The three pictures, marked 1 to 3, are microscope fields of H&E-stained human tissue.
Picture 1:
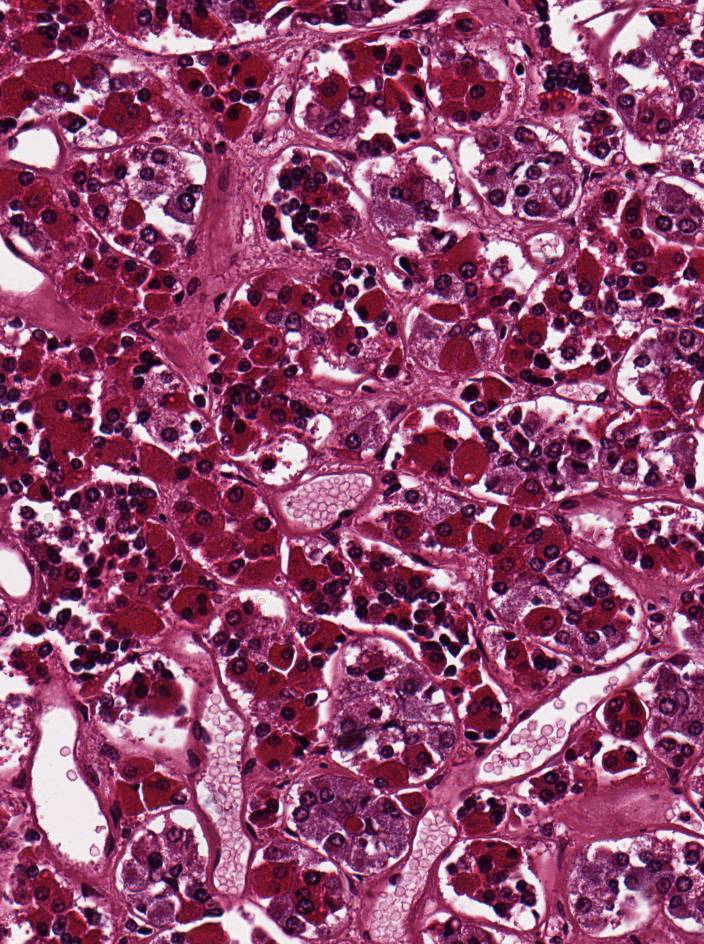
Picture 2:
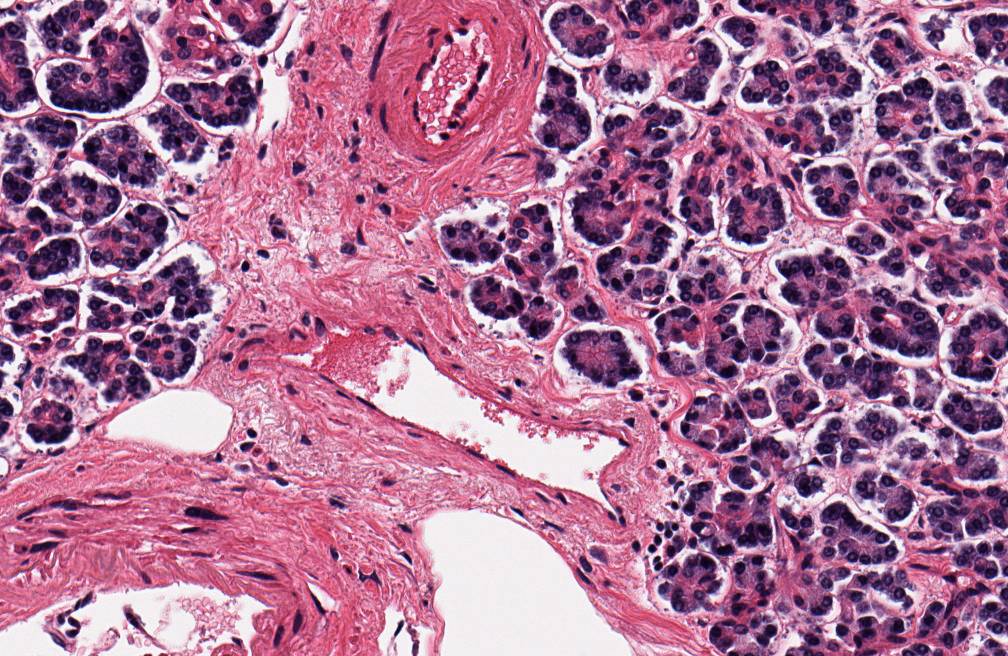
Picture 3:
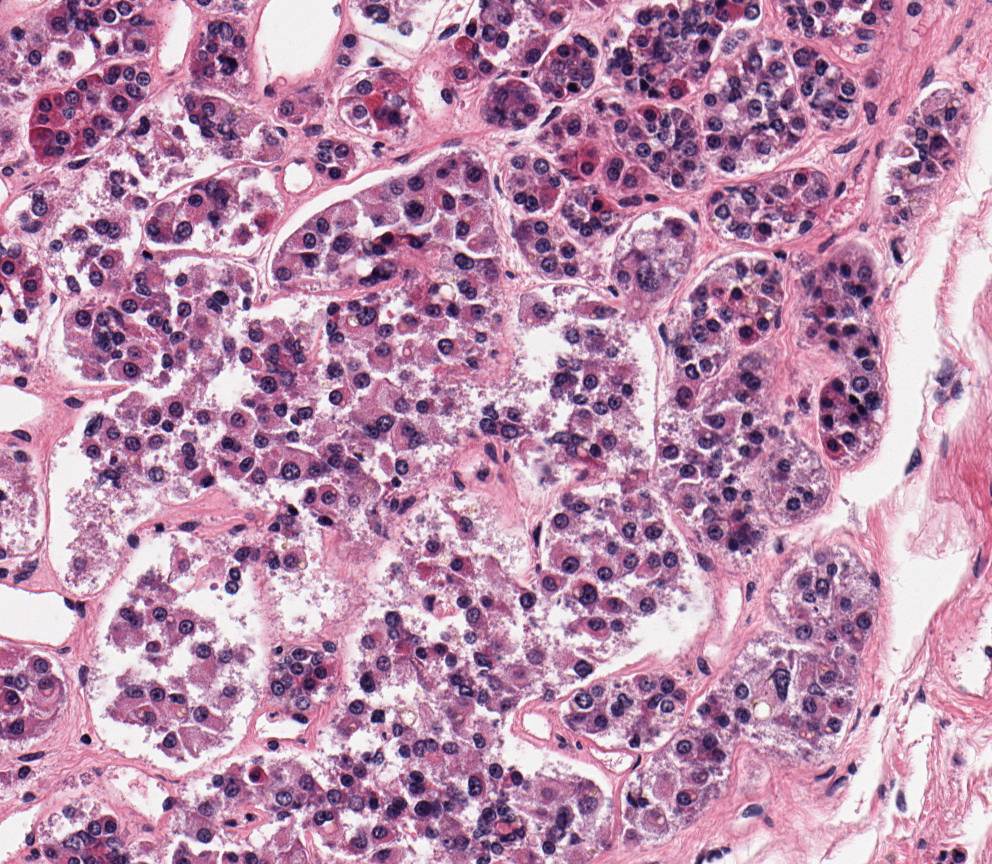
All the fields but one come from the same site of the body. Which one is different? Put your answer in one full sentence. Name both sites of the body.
All pictures except 2 come from the pituitary; picture 2 comes from the pancreas.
